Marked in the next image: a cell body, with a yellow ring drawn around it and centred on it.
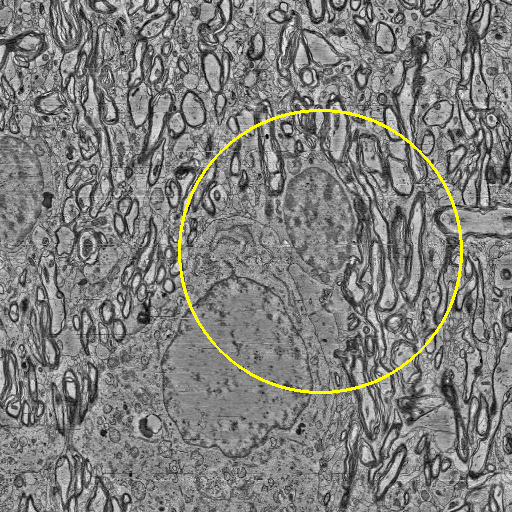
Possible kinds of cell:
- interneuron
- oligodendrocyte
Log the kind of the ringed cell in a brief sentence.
The ringed cell body is that of an oligodendrocyte.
